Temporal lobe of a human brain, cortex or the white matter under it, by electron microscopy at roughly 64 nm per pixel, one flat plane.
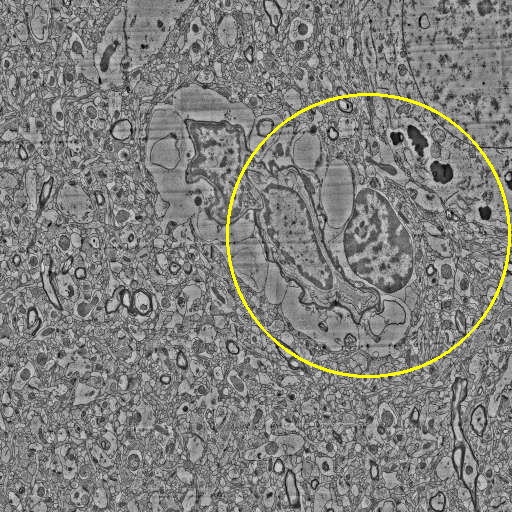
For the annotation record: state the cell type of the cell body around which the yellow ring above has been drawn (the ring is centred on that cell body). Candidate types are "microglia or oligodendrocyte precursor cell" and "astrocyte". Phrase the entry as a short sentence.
The ringed cell is a microglial cell or oligodendrocyte precursor cell.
